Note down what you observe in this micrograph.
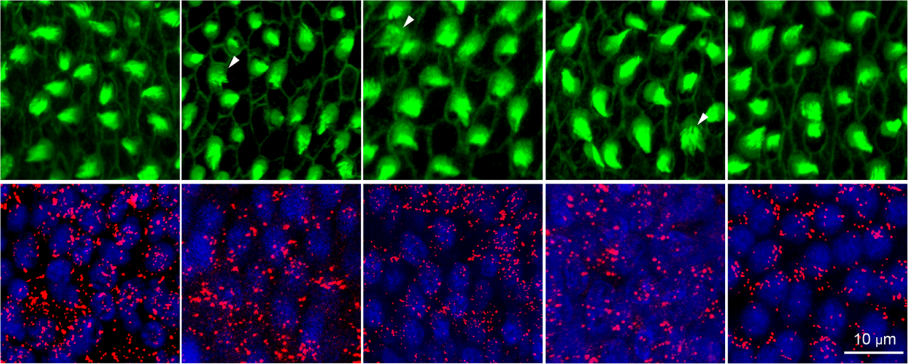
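Surface views of a sensory epithelium of hair cells: the top row shows bright green hair bundles, one per cell, arranged in a fairly regular mosaic, with thin green lines marking the polygonal borders between cells. A few bundles marked by white arrowheads look fanned out and disordered rather than compact. The bottom row shows round blue nuclei packed across the field, with many small red puncta scattered among and around them.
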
